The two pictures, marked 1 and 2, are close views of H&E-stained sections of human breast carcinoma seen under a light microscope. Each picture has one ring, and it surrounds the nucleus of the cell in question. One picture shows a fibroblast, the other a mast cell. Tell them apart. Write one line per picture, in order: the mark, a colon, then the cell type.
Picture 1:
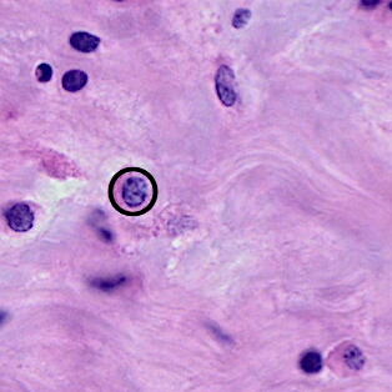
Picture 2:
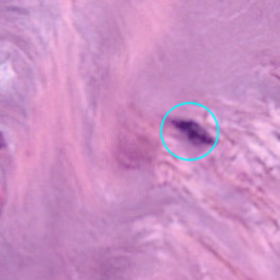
1: mast cell
2: fibroblast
